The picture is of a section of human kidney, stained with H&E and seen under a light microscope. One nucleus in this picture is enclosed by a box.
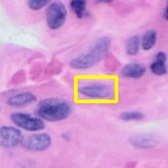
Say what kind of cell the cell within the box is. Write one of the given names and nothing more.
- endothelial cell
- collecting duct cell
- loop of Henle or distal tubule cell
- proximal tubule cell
endothelial cell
